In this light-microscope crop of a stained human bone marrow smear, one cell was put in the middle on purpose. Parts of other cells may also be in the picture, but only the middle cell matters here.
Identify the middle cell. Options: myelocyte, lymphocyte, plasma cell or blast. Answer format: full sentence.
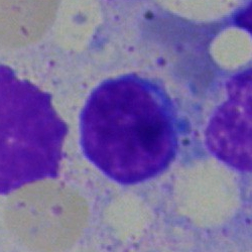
Occupying the centre of the crop is a lymphocyte.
